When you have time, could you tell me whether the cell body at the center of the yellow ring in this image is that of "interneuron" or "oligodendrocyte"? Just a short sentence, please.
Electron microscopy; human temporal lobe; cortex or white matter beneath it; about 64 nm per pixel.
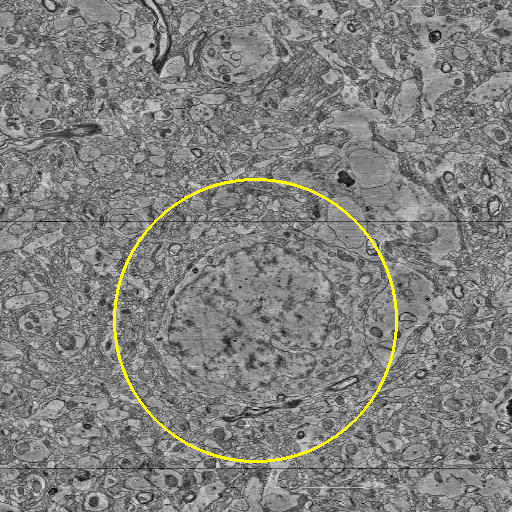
The cell body at the center of the ring is that of an interneuron.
